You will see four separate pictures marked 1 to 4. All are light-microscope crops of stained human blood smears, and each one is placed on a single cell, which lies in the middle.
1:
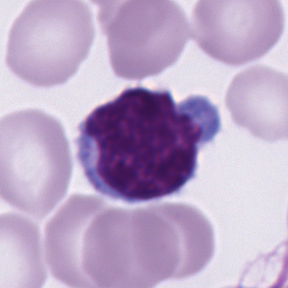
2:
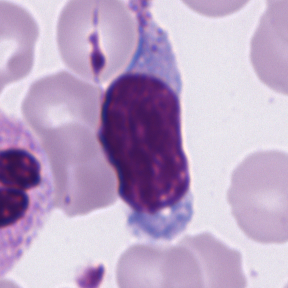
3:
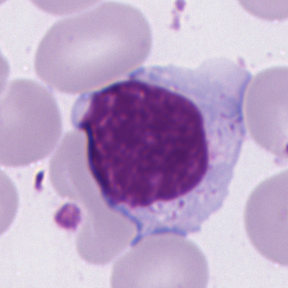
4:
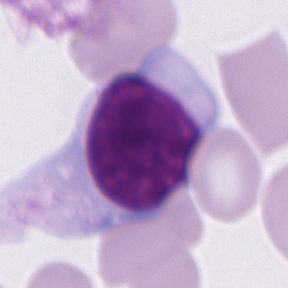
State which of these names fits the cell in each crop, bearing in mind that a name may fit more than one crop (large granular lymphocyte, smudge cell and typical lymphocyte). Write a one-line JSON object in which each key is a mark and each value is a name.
{"1": "typical lymphocyte", "2": "typical lymphocyte", "3": "large granular lymphocyte", "4": "large granular lymphocyte"}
